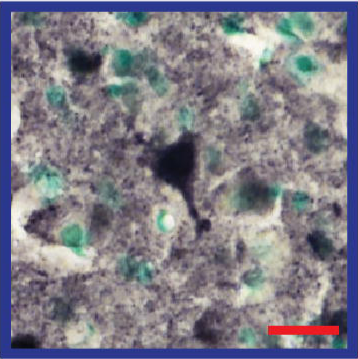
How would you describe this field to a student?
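Several large cell bodies stand out in near-black, some triangular in outline with a thick process leaving one pole. Scattered among them are many small round to oval nuclei stained blue-green, lying in pale halos. The fine granular deposit fills the space between the cells, so the background looks mottled rather than clear.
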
